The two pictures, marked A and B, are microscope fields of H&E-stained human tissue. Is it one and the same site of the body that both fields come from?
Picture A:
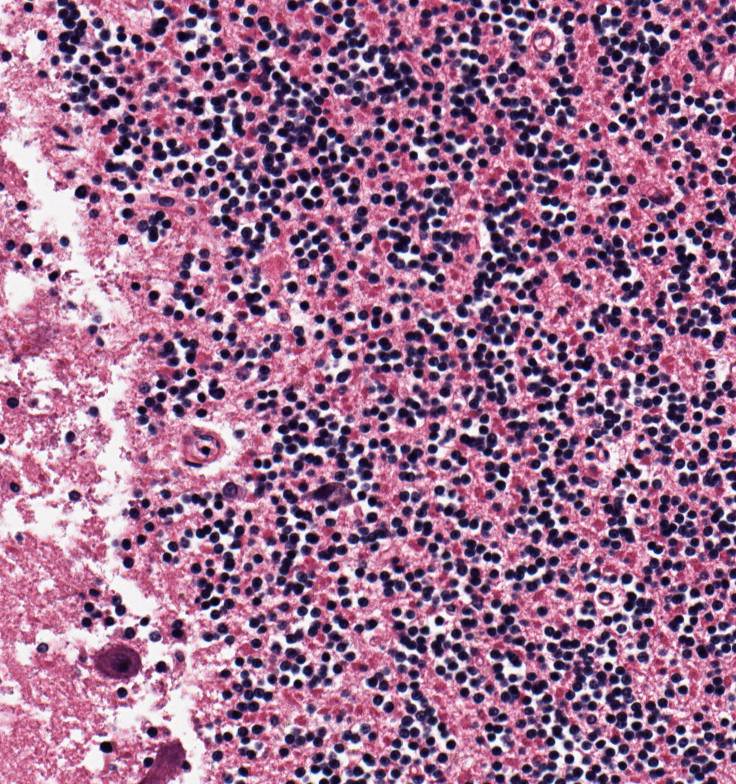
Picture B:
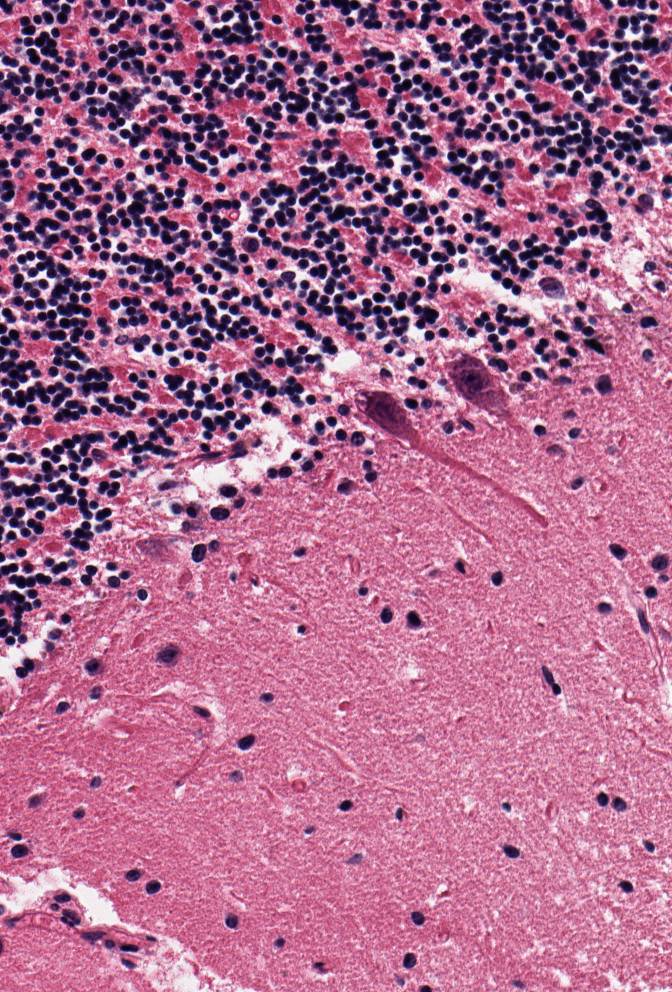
yes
